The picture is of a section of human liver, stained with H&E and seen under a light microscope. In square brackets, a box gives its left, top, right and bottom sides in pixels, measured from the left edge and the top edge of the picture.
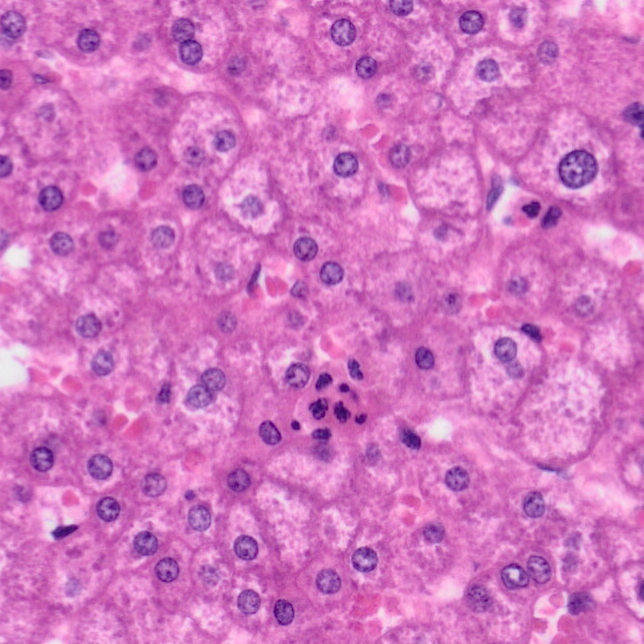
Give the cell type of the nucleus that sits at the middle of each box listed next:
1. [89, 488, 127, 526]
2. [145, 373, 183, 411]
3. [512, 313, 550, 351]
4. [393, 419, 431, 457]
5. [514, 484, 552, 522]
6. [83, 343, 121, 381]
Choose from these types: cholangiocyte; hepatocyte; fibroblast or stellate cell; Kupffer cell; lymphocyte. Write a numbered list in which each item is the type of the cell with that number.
1. hepatocyte
2. fibroblast or stellate cell
3. fibroblast or stellate cell
4. fibroblast or stellate cell
5. hepatocyte
6. hepatocyte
